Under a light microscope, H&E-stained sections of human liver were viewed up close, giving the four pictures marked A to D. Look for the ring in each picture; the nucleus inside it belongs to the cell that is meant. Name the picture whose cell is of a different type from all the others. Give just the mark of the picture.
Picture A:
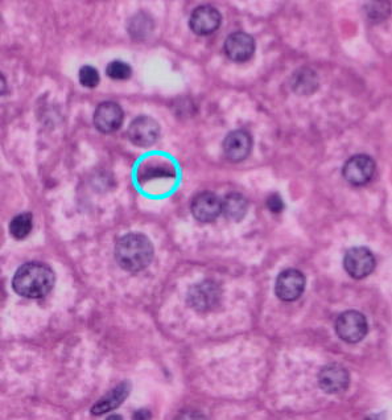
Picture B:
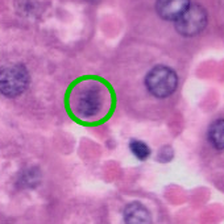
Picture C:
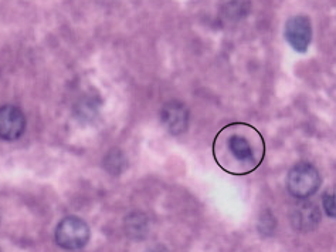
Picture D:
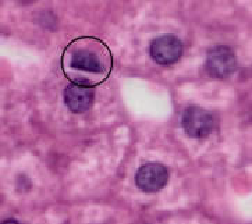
A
